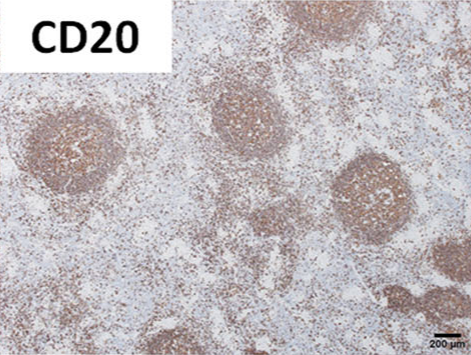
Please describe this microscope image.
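Lymphoid tissue at low magnification with several round follicles that stain densely brown. Between the follicles lies paler tissue with scattered brown cells and small clusters.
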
